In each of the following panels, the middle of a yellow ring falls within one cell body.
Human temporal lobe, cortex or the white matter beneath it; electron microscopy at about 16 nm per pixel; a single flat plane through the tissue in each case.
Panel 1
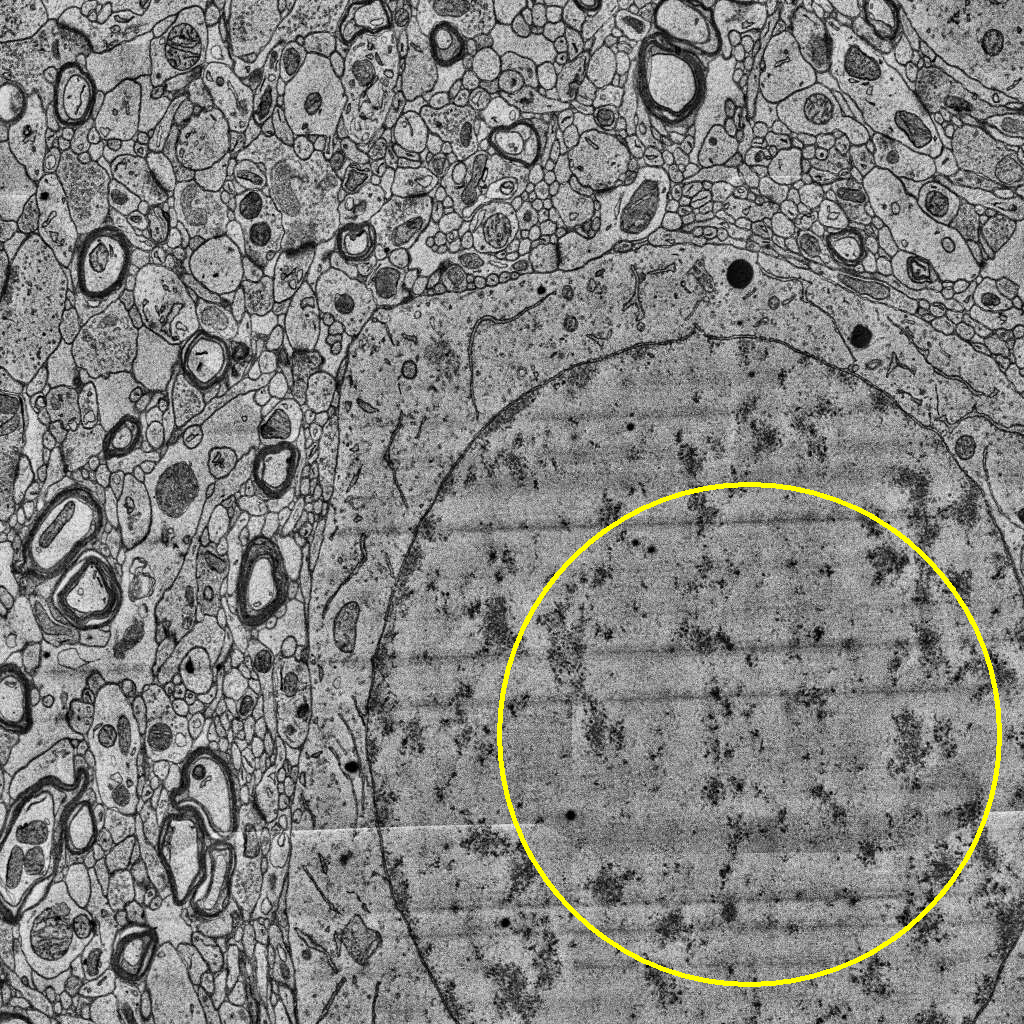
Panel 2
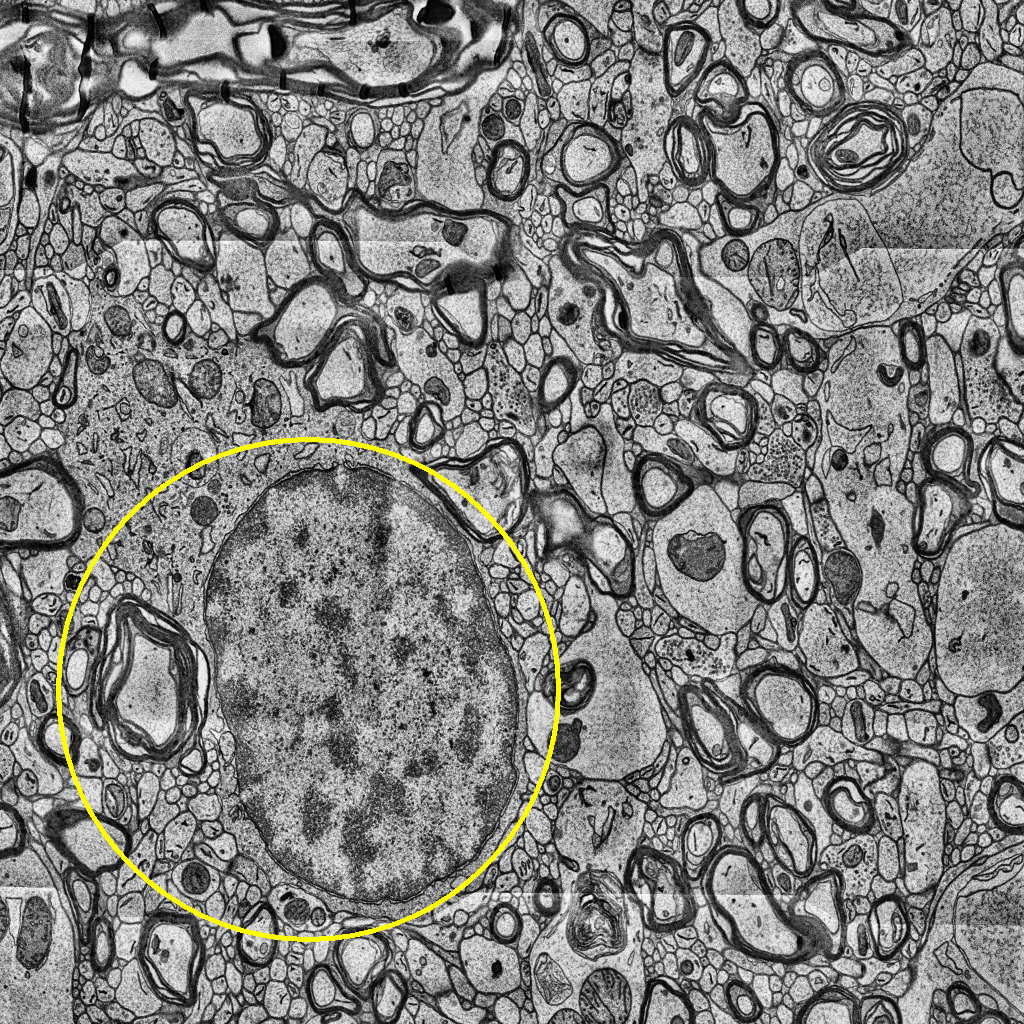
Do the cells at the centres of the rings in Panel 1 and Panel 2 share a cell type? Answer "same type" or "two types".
two types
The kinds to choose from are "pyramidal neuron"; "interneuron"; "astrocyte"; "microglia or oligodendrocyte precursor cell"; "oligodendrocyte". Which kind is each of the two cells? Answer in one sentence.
The cell in the first picture is a pyramidal neuron; the second picture's cell is an oligodendrocyte.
